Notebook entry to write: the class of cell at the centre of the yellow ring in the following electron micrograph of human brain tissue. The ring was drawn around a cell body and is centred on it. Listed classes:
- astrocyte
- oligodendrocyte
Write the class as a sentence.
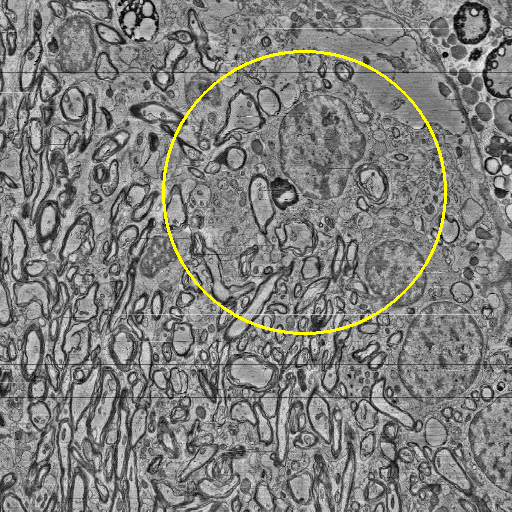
The yellow ring sits on an oligodendrocyte.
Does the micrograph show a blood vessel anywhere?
Yes, a blood vessel shows in the picture.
